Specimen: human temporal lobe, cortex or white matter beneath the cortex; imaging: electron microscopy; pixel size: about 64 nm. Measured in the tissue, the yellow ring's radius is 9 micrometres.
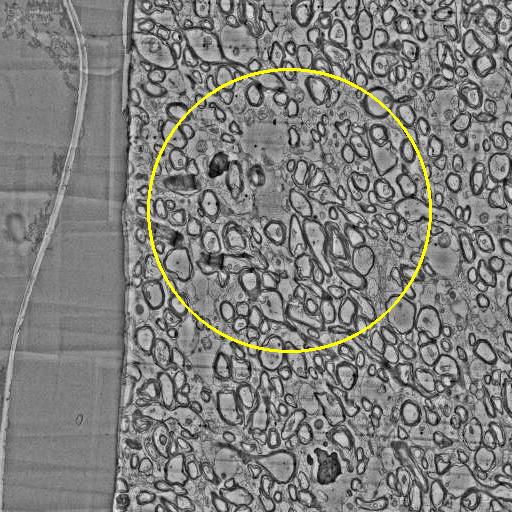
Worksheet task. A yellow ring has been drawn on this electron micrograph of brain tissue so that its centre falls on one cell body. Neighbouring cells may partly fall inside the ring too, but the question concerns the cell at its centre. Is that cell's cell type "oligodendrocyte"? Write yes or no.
yes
